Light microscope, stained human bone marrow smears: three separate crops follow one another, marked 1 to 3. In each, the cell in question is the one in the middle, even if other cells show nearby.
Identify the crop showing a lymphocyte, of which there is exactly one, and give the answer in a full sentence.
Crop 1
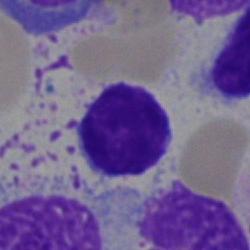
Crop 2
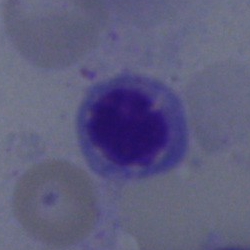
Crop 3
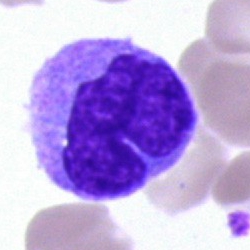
As for which crop shows a lymphocyte, it is crop 1.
